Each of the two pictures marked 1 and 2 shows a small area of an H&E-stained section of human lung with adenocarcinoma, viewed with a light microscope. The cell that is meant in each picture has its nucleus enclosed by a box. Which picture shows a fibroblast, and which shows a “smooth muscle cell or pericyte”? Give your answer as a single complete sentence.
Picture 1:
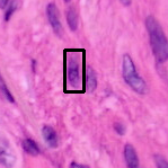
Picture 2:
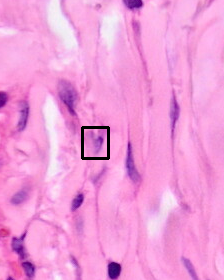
Picture 1 shows a “smooth muscle cell or pericyte” and picture 2 shows a fibroblast.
